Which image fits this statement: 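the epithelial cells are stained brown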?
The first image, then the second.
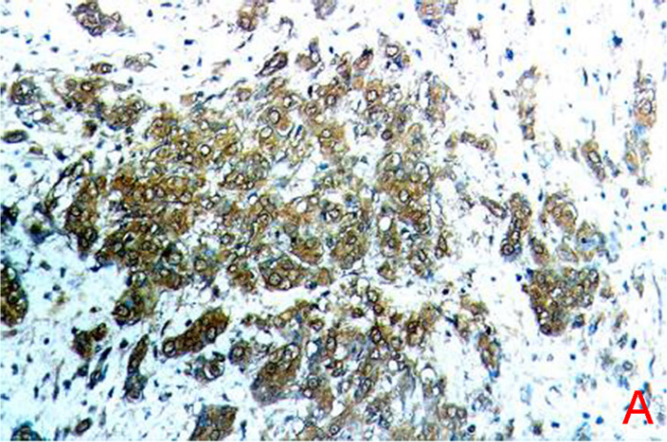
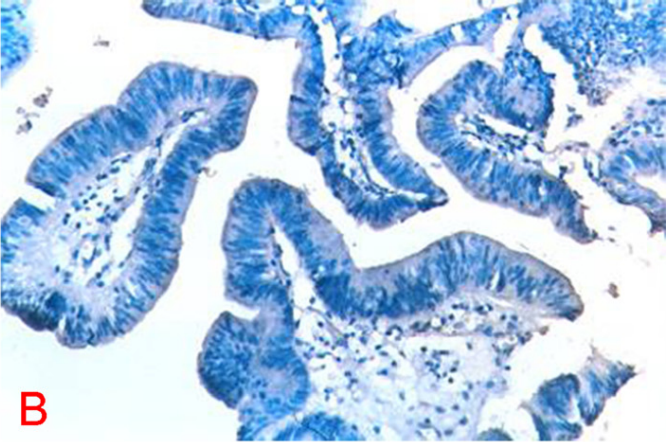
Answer: The first image.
